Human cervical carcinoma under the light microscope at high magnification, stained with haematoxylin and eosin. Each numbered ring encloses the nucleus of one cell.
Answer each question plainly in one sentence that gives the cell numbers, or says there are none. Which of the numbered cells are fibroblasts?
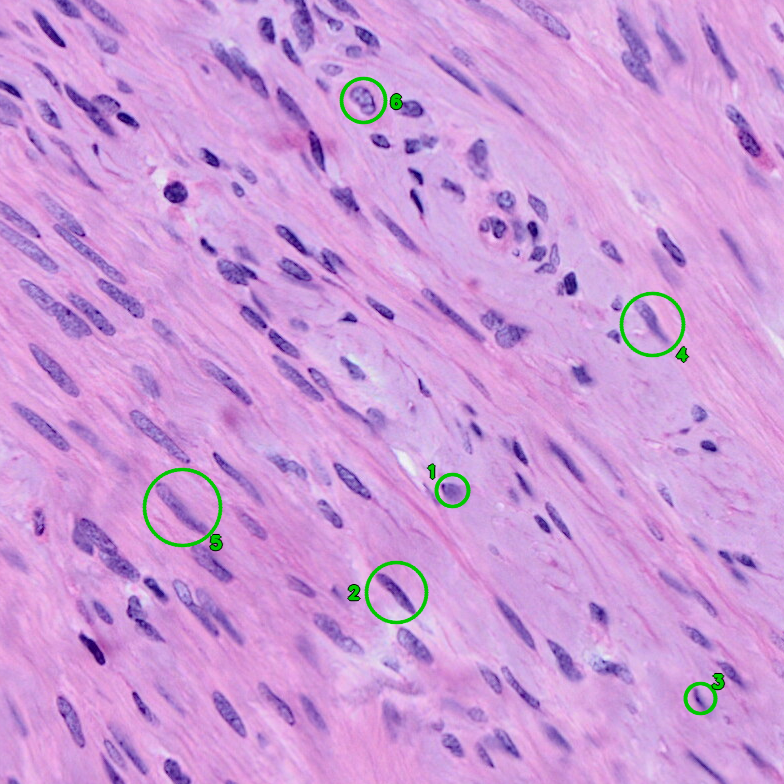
The cells which carry the numbers 1, 2, 3 and 4 are fibroblasts.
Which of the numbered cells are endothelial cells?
None but cell 6 among the numbered cells is an endothelial cell.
